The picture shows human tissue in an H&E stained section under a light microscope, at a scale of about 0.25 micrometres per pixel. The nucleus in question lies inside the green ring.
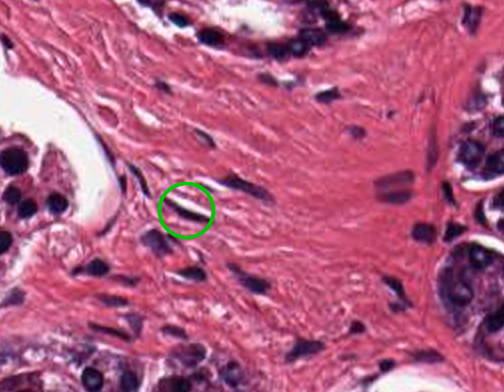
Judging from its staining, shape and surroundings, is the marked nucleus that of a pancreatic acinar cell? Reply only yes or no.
no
